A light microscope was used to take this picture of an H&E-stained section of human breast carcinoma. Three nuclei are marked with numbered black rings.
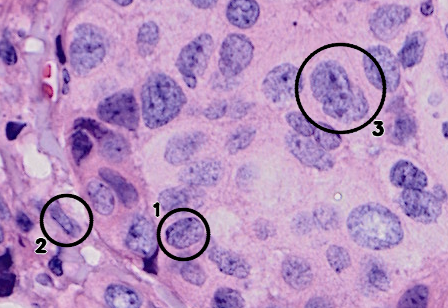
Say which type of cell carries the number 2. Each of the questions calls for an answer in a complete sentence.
The cell identified by the number 2 is a macrophage, monocyte or dendritic cell.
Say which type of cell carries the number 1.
In this section, number 1 marks a carcinoma cell.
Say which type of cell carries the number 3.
Classified as a carcinoma cell is the cell with the number 3.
